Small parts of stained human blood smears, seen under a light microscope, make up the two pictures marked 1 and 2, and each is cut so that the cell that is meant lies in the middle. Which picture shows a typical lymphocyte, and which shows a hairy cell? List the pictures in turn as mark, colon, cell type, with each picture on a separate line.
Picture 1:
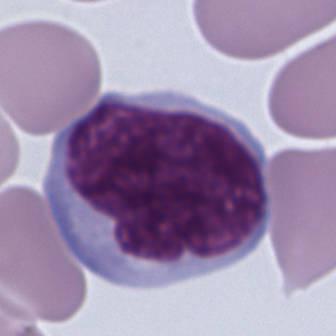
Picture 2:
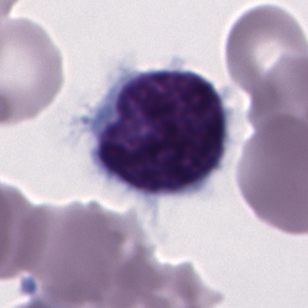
1: typical lymphocyte
2: hairy cell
